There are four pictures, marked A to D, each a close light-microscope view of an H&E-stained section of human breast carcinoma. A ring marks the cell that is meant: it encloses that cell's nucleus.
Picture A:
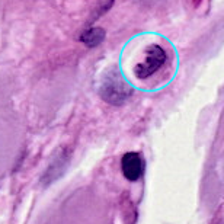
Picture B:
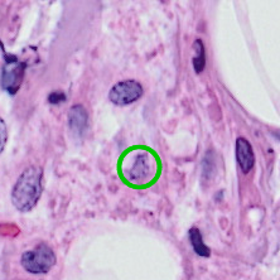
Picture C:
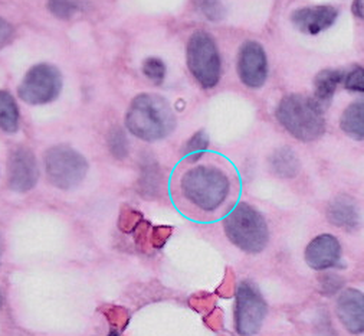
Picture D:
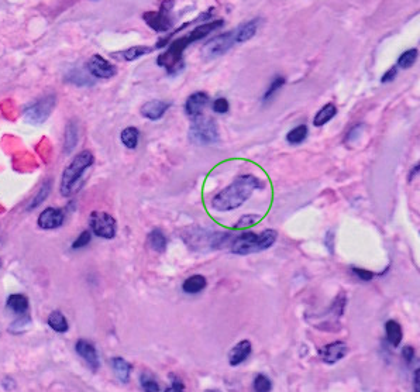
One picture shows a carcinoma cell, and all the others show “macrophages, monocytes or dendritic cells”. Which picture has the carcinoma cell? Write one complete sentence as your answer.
Picture C shows the carcinoma cell.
